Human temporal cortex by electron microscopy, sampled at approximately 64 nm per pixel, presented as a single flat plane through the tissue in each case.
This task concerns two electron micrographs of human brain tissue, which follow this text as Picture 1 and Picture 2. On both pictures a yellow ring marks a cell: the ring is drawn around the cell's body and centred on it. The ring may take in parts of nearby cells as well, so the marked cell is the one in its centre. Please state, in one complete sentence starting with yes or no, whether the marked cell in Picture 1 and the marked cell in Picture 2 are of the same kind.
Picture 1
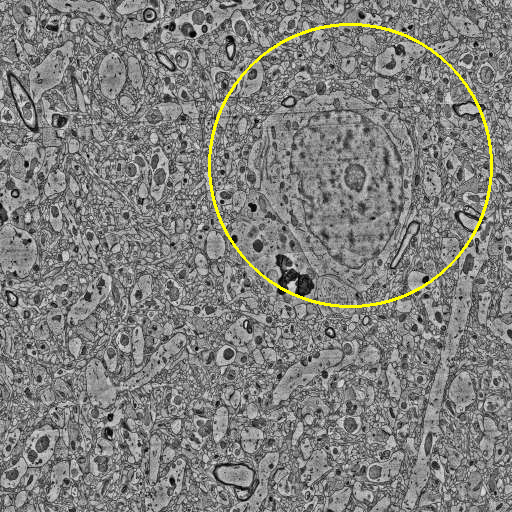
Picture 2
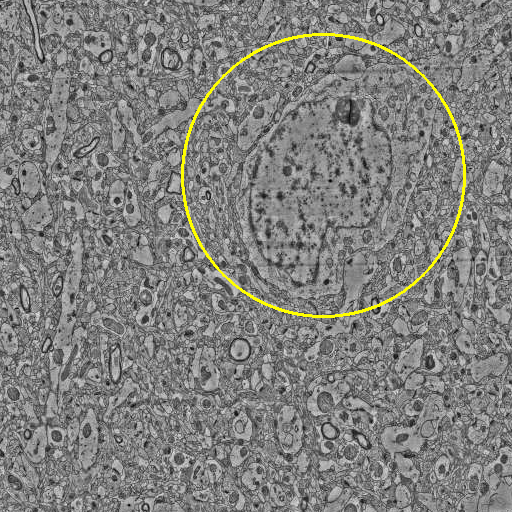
Yes, the marked cells in both pictures are of the same kind.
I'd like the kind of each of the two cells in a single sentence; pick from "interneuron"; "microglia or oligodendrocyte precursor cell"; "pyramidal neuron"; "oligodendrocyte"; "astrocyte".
The cell in the first picture is an interneuron, and so is the one in the second.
